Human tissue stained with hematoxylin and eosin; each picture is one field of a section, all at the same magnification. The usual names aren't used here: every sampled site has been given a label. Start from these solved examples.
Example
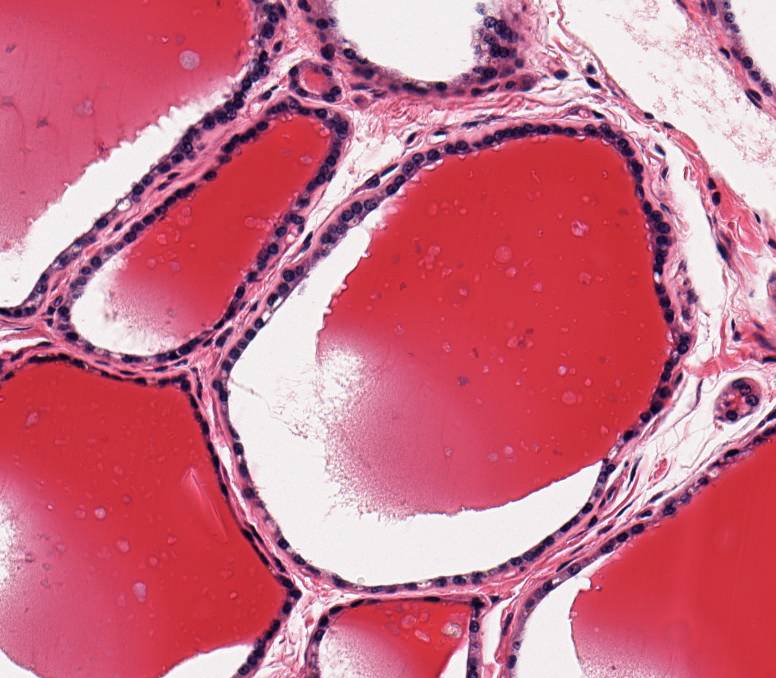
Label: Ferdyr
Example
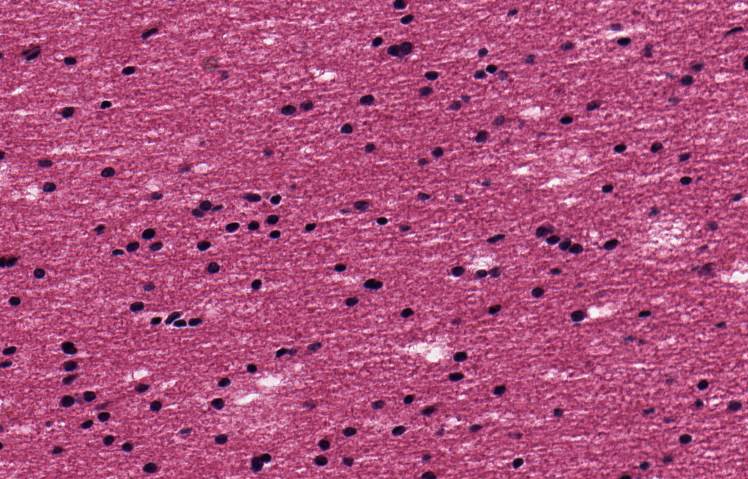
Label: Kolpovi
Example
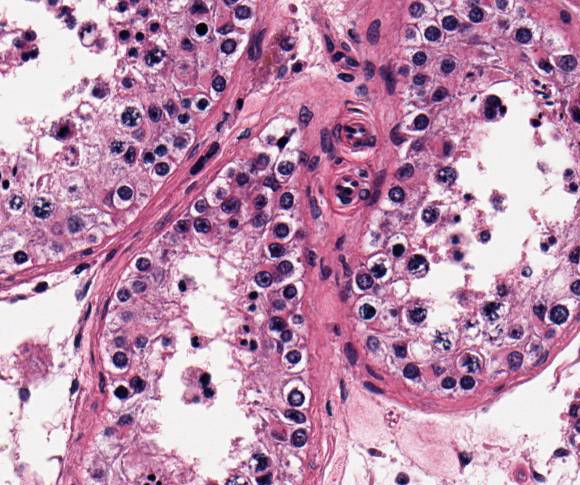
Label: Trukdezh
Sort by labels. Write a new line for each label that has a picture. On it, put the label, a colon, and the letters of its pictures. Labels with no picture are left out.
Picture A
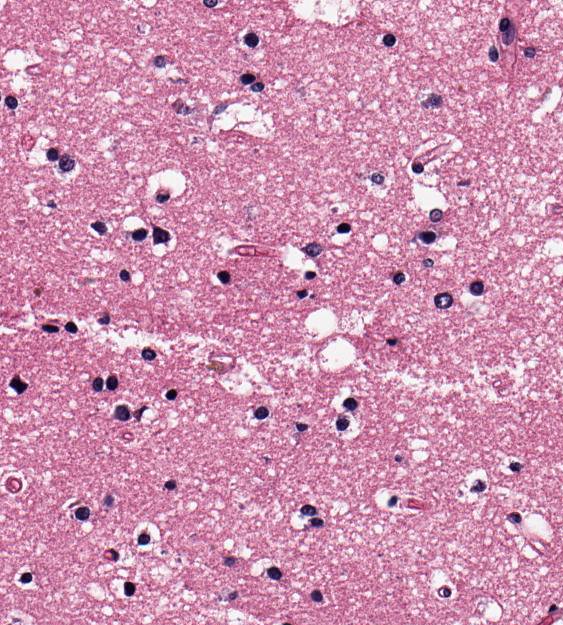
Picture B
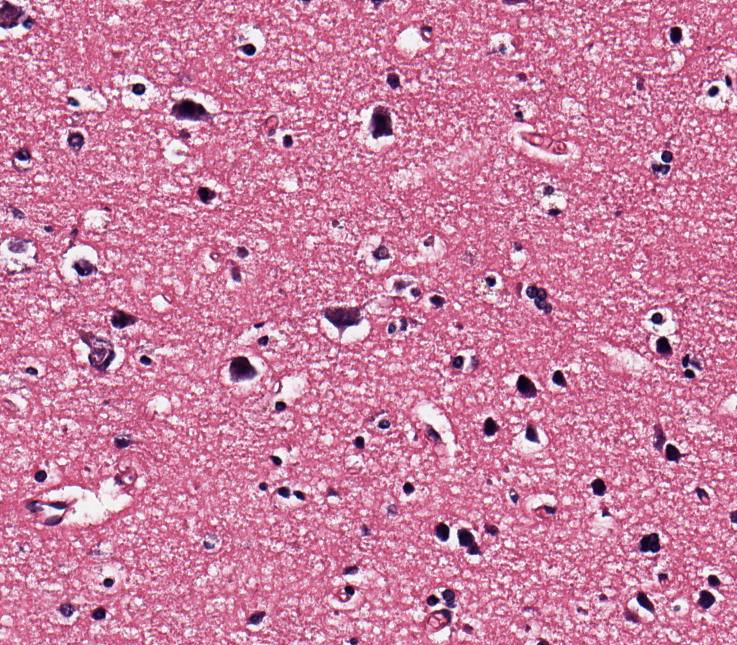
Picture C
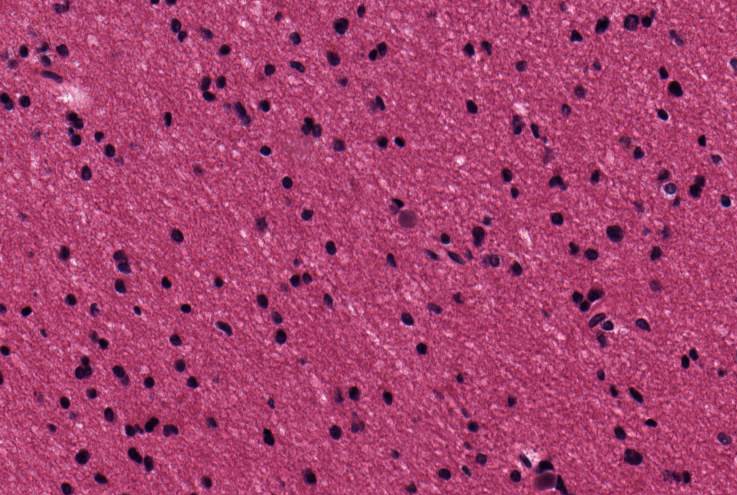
Kolpovi: A, B, C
